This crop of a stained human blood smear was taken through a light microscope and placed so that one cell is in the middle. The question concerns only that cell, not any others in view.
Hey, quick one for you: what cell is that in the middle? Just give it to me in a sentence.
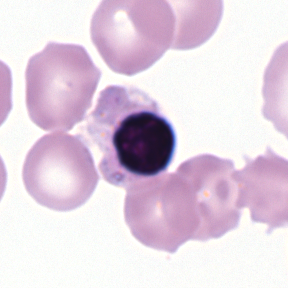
Positioned in the middle of the crop is an erythroblast.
